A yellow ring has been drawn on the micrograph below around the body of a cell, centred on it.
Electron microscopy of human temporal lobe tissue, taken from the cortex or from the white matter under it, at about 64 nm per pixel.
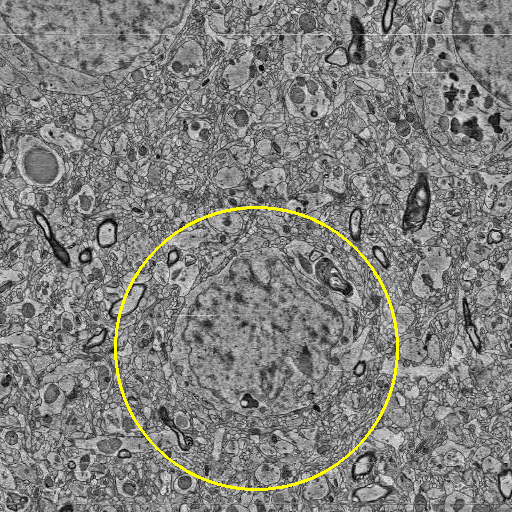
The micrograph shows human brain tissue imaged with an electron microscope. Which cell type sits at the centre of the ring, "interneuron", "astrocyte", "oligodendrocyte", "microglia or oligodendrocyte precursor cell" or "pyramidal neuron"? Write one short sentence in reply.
The cell sitting at the centre of the ring is an interneuron.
